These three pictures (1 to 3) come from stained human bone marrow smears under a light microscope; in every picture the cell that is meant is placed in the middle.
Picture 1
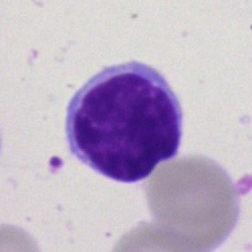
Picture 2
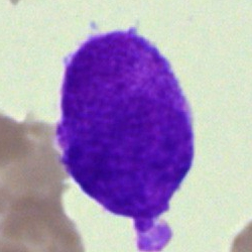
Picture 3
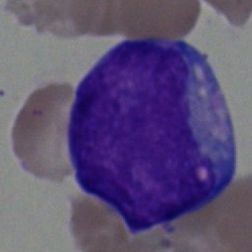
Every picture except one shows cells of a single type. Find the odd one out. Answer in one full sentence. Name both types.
The others show blasts, but picture 1 shows a lymphocyte.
